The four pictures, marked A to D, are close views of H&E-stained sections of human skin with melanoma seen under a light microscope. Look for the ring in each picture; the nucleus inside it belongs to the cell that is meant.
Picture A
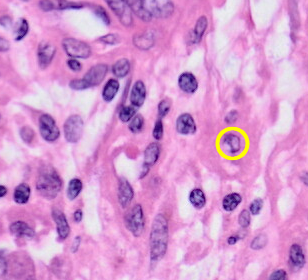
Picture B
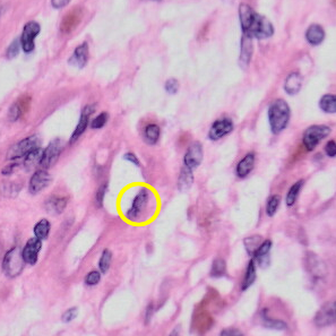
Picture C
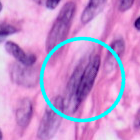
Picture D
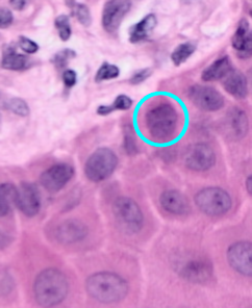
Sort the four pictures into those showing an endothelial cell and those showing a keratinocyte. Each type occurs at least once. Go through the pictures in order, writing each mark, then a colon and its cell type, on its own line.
A: endothelial cell
B: endothelial cell
C: endothelial cell
D: keratinocyte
